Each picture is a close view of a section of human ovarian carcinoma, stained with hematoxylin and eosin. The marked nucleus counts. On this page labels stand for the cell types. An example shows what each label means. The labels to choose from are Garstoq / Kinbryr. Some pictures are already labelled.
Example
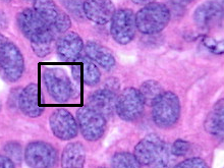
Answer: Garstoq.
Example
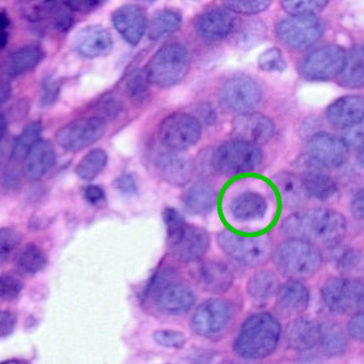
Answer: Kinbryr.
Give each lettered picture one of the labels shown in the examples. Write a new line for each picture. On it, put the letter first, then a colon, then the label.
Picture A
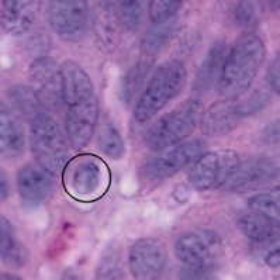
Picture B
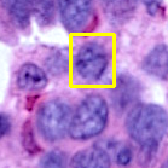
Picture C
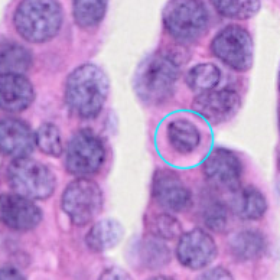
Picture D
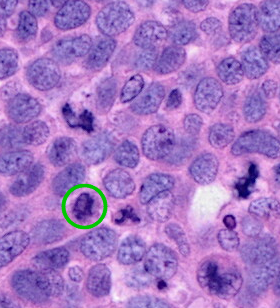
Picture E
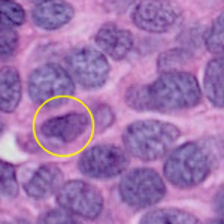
A: Kinbryr.
B: Kinbryr.
C: Kinbryr.
D: Garstoq.
E: Garstoq.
